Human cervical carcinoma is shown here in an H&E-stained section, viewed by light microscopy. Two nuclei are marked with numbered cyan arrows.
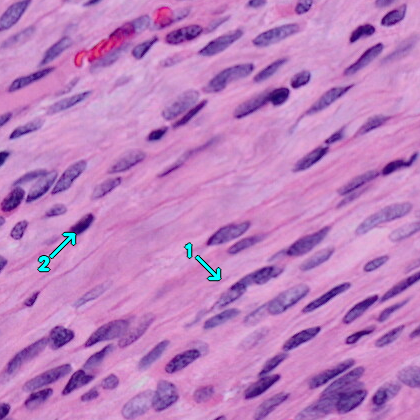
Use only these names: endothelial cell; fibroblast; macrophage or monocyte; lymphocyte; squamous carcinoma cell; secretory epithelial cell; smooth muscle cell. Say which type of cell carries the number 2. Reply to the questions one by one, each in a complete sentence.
The correct label for cell 2 is a lymphocyte.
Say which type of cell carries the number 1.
The cell bearing label 1 corresponds to a fibroblast.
